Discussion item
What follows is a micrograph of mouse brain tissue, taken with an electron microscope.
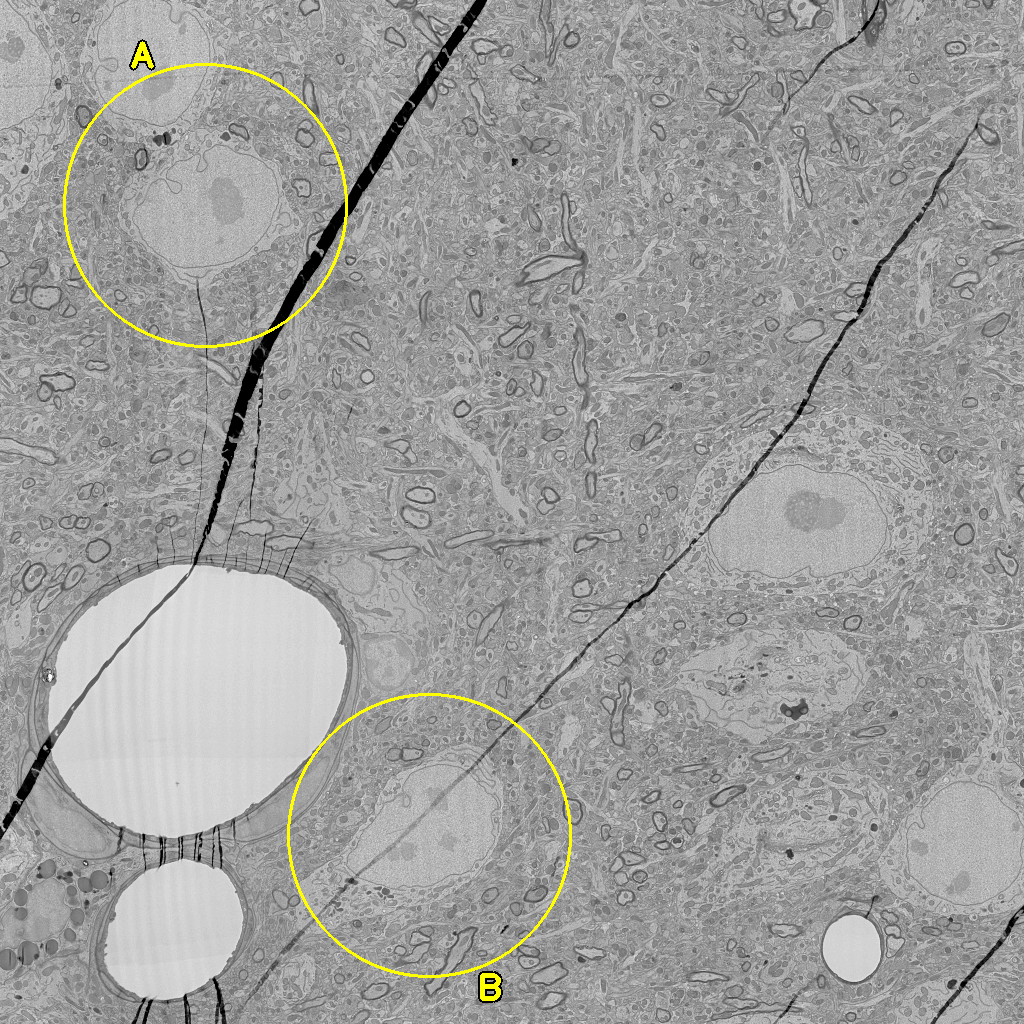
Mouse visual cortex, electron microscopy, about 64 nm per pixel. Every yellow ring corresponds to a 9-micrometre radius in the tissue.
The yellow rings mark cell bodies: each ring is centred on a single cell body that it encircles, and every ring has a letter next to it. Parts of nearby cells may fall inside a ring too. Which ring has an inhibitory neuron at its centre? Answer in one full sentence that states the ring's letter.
Ring B is the ring whose centre falls on the cell the question asks about.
